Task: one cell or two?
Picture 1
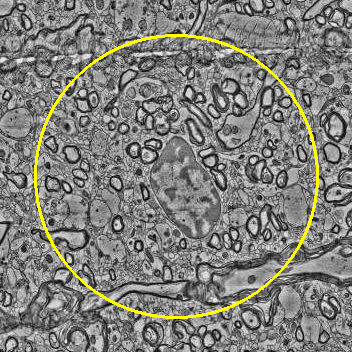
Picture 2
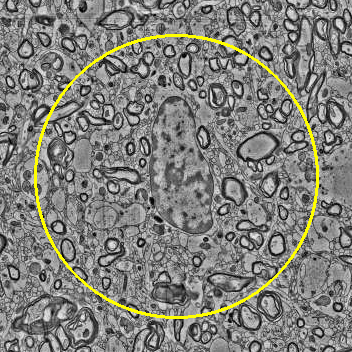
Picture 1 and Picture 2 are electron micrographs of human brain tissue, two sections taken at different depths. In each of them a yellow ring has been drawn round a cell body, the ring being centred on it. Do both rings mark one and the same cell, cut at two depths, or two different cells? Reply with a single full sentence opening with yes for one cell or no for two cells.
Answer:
Yes, the two rings encircle a single cell, not a pair.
